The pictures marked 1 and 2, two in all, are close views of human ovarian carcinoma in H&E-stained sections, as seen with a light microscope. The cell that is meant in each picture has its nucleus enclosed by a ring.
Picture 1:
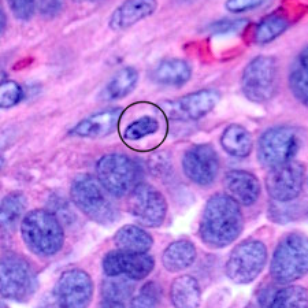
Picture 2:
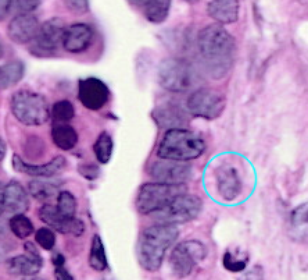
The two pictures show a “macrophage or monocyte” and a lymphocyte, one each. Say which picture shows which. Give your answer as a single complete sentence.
Picture 2 shows a “macrophage or monocyte”, while picture 1 shows a lymphocyte.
